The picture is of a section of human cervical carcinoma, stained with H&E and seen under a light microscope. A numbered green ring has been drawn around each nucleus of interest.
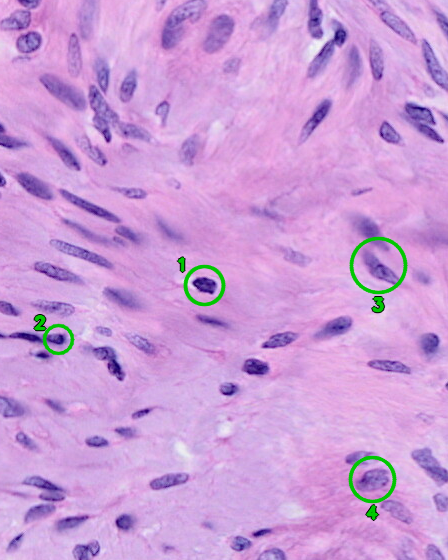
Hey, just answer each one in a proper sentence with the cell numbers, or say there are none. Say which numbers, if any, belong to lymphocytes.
Only at number 1 is there a lymphocyte.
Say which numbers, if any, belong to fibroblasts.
Cells 2 and 3 share one type; they are fibroblasts.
